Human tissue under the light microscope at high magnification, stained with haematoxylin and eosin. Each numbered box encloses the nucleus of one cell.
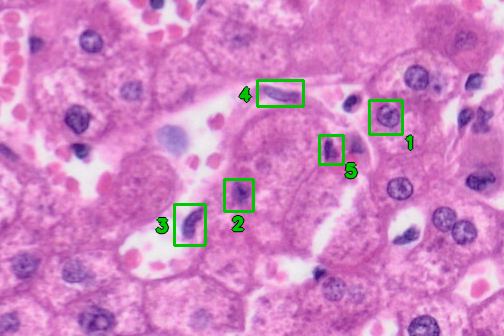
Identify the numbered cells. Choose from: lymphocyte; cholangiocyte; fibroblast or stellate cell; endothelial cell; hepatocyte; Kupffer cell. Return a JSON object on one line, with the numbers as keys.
{"1": "hepatocyte", "2": "fibroblast or stellate cell", "3": "Kupffer cell", "4": "Kupffer cell", "5": "fibroblast or stellate cell"}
